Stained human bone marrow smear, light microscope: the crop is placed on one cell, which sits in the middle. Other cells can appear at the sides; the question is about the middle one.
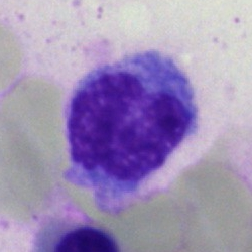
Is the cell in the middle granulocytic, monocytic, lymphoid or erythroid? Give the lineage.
monocytic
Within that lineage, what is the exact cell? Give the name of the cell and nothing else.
monocyte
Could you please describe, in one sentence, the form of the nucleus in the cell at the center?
Worth pointing out that its nucleus is one compact mass, round, oval or reniform.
